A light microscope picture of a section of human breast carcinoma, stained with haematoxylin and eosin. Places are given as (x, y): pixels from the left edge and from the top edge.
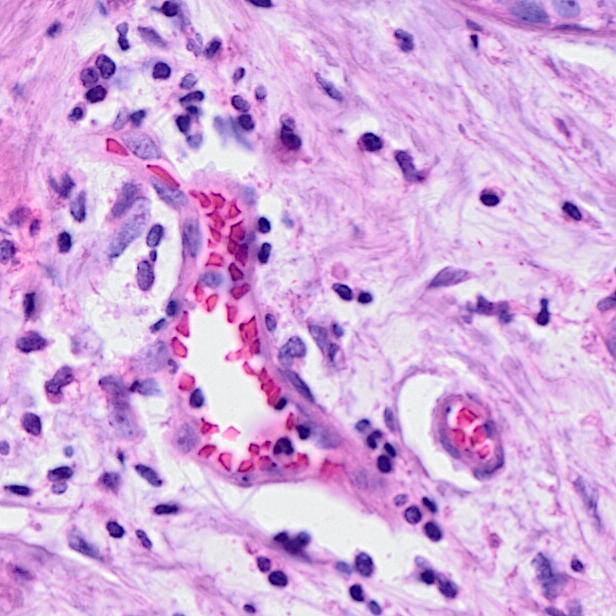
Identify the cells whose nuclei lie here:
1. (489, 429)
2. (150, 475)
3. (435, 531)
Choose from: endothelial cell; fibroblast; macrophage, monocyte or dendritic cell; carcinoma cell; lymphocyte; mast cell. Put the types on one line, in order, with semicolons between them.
endothelial cell; lymphocyte; lymphocyte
